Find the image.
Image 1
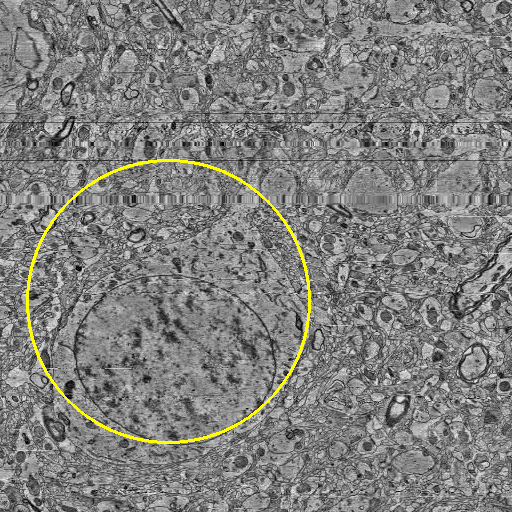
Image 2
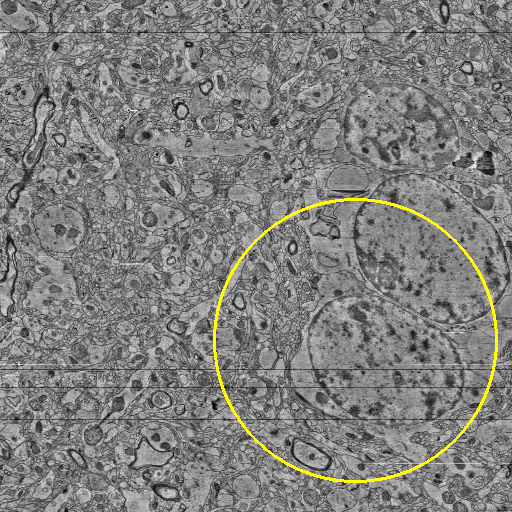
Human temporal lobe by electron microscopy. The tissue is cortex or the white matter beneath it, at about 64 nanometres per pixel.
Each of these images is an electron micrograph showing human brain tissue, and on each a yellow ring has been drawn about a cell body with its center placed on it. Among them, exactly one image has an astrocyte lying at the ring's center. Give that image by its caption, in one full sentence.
The ring in Image 2 is centered on the cell the question describes.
